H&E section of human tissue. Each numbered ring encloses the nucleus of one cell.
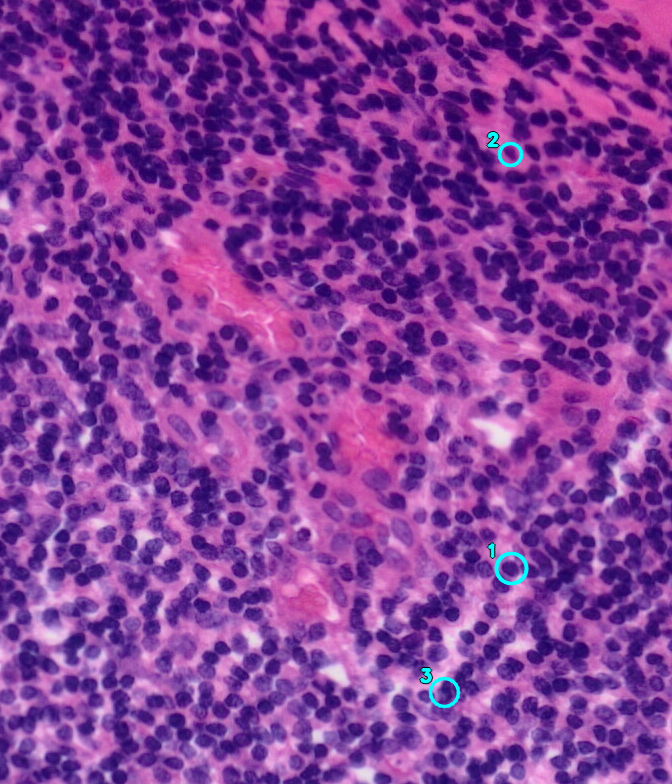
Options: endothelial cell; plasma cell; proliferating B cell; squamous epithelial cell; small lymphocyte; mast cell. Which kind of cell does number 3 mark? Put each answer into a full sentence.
The cell marked with the number 3 is a small lymphocyte.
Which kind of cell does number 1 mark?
The cell indicated by marker 1 is a small lymphocyte in this section.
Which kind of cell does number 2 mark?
The cell that bears the number 2 is an endothelial cell.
